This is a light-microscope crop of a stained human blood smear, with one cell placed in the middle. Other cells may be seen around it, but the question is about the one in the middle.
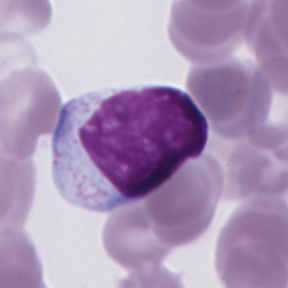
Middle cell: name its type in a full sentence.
The identification for the central cell is a large granular lymphocyte.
